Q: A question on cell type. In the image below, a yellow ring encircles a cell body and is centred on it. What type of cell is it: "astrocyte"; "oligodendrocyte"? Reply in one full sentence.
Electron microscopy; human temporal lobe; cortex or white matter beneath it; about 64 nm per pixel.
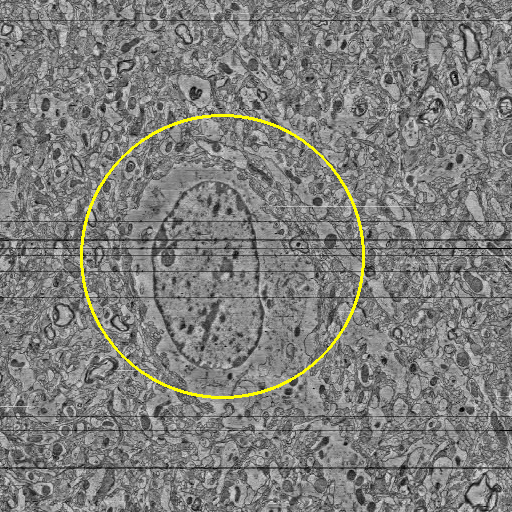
It is an astrocyte whose cell body sits at the centre of the yellow ring in the image.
